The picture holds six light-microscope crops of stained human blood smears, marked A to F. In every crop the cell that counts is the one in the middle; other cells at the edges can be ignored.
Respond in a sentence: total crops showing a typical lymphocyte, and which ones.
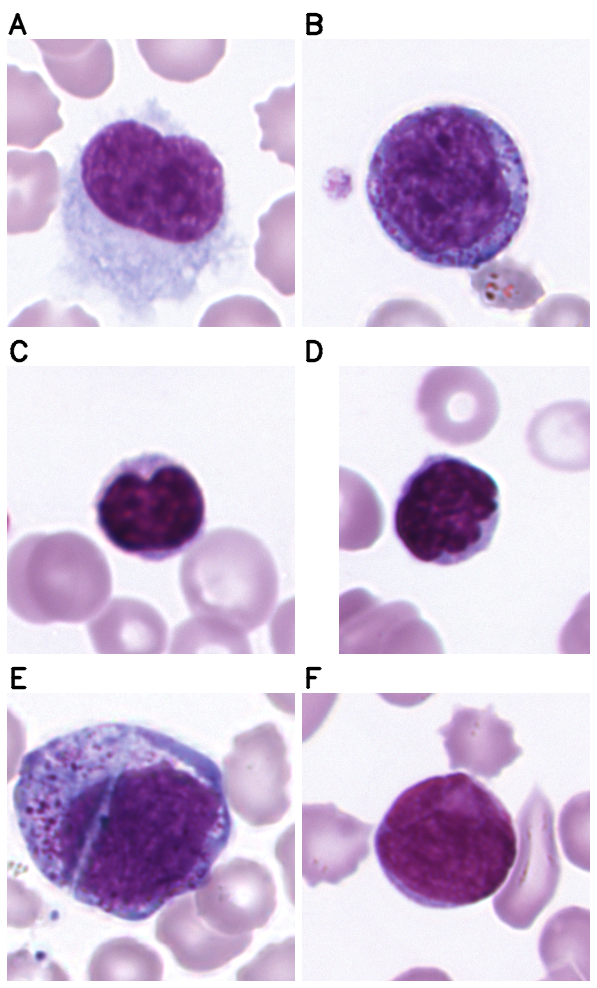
Among these crops, a typical lymphocyte is the central cell of only one, crop D.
